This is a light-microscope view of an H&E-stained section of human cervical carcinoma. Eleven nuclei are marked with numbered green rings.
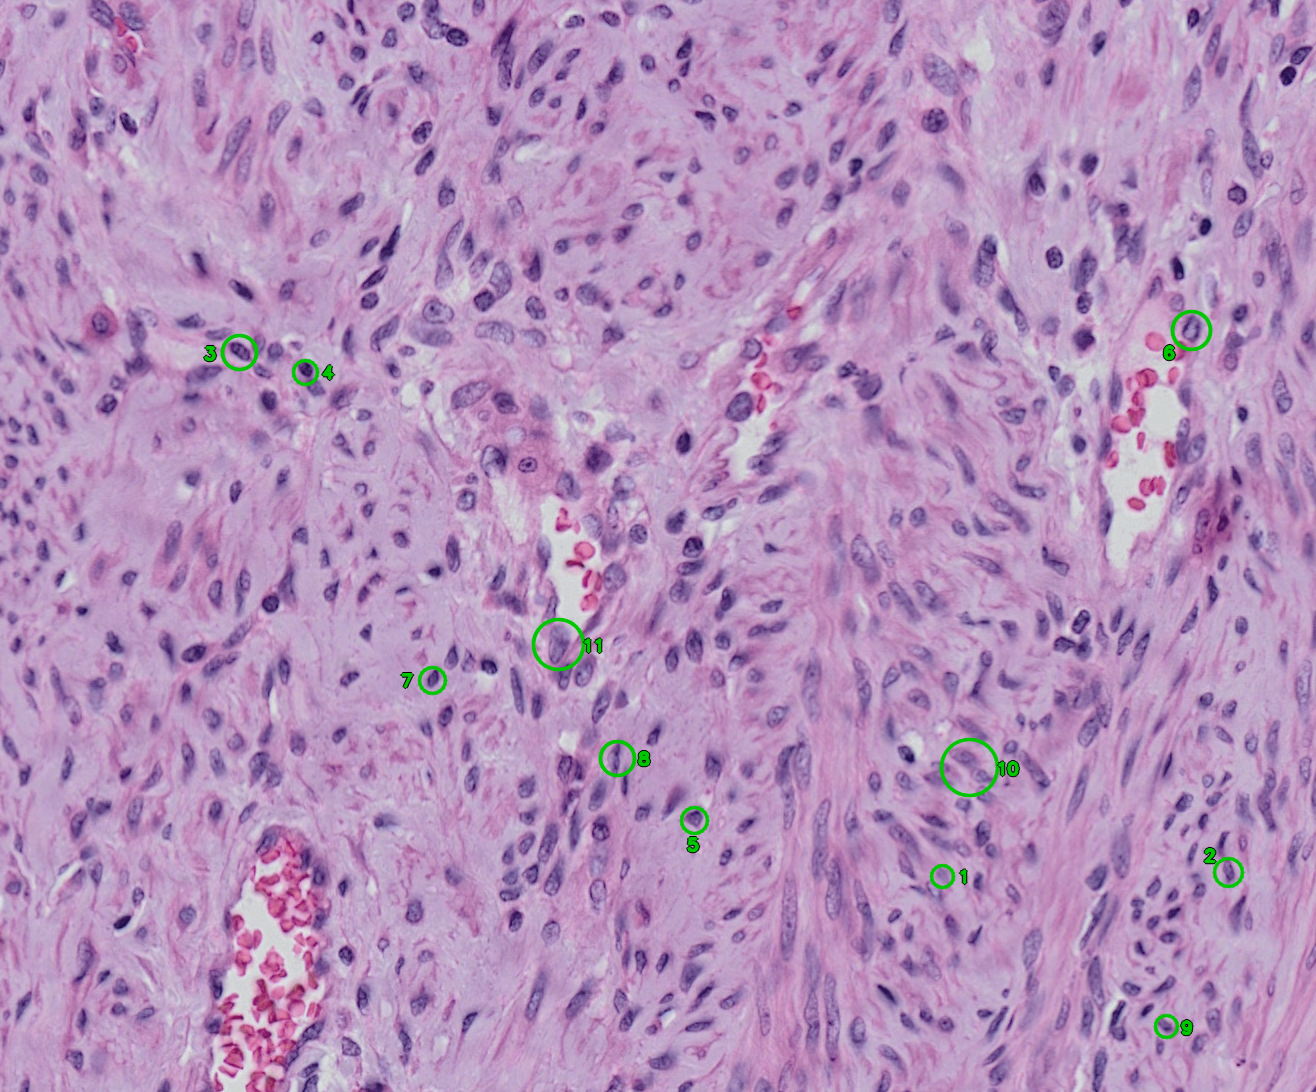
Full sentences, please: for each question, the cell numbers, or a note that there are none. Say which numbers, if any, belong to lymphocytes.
The cells marked 3 and 4 in the section are lymphocytes.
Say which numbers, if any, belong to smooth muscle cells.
Within this tissue, the cells numbered 1, 2, 9 and 10 are smooth muscle cells.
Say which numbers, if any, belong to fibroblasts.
The cells that the numbers 5, 7 and 8 belong to are fibroblasts.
